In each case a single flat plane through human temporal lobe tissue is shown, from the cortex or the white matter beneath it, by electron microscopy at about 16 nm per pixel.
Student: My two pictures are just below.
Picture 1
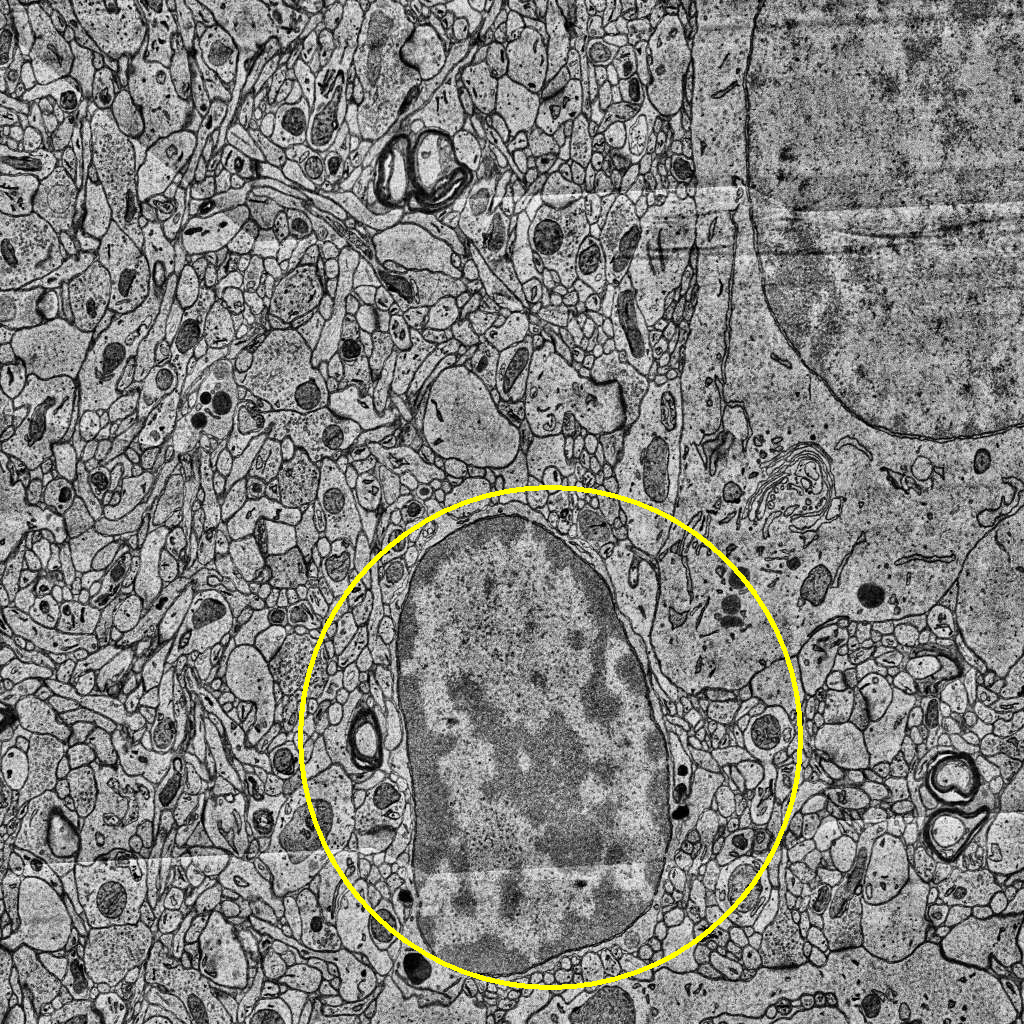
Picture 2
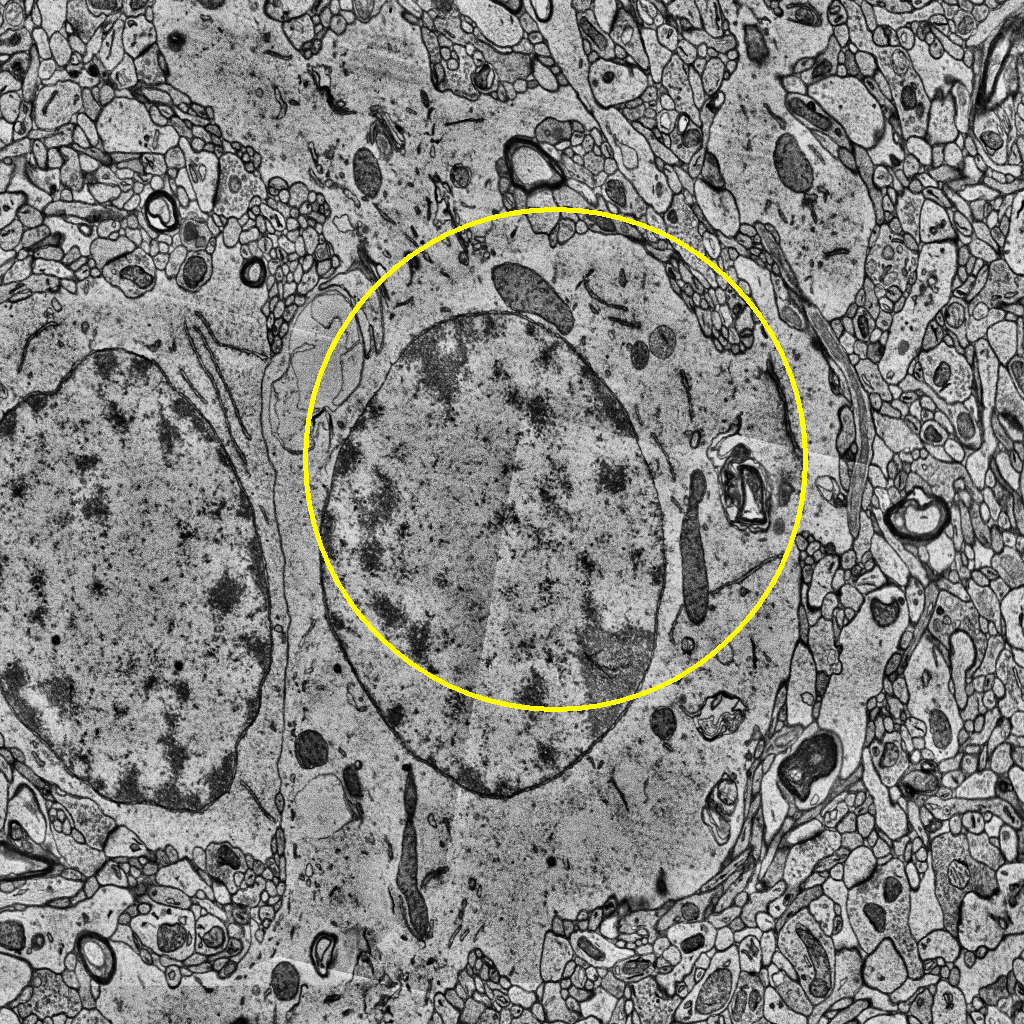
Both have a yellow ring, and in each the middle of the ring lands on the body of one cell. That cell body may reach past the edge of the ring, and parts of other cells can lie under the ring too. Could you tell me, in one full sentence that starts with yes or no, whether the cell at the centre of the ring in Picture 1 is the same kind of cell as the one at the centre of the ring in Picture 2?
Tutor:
No, the two cells are of two kinds.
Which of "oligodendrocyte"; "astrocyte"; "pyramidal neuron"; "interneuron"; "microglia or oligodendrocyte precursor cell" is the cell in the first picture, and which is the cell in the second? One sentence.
The first of the two cells is a microglial cell or oligodendrocyte precursor cell, and the second is an astrocyte.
